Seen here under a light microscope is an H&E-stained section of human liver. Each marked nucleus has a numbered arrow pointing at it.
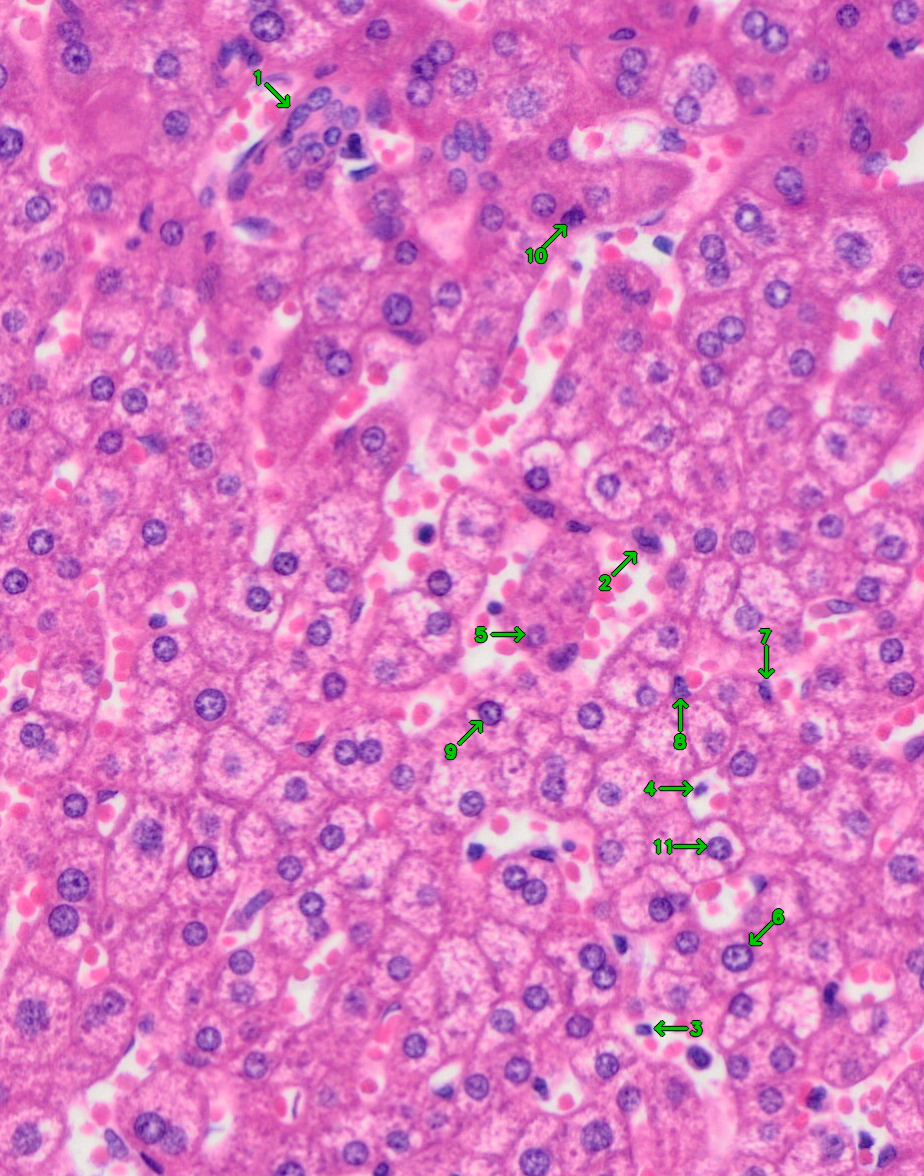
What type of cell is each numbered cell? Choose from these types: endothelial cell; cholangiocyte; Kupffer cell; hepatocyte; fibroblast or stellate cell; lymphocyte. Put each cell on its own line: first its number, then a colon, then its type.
1: cholangiocyte
2: Kupffer cell
3: lymphocyte
4: lymphocyte
5: hepatocyte
6: hepatocyte
7: fibroblast or stellate cell
8: endothelial cell
9: hepatocyte
10: fibroblast or stellate cell
11: hepatocyte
